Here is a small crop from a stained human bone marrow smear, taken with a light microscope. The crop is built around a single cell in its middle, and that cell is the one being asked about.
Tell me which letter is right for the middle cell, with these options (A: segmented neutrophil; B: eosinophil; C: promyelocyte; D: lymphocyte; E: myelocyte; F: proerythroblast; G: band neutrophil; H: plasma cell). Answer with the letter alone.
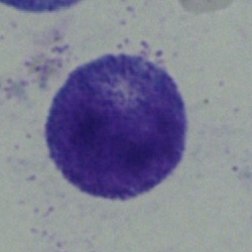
C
